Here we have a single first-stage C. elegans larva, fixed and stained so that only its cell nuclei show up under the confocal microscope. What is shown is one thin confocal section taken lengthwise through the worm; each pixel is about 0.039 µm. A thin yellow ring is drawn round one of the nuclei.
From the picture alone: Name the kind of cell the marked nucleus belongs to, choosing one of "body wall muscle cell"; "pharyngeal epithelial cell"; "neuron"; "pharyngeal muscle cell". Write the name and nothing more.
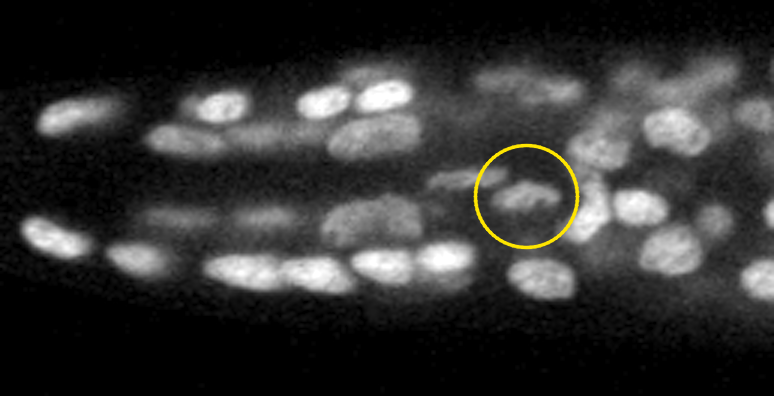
neuron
